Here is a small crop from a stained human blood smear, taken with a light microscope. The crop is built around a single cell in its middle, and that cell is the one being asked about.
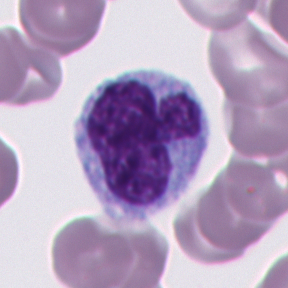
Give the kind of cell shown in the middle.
monocyte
